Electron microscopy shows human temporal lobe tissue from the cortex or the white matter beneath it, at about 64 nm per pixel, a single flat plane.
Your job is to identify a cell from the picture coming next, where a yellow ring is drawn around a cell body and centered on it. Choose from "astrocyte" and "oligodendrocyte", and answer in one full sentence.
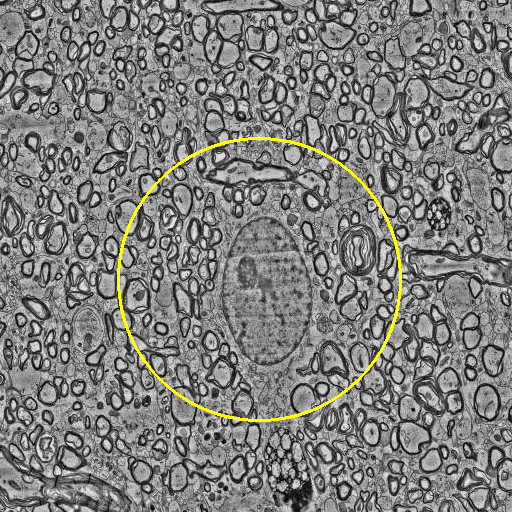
Centered in the yellow ring of the picture is the body of an astrocyte.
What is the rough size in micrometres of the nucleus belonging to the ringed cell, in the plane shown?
The ringed cell's nucleus is roughly 9 by 6 micrometres and clearly longer than it is wide in this plane.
